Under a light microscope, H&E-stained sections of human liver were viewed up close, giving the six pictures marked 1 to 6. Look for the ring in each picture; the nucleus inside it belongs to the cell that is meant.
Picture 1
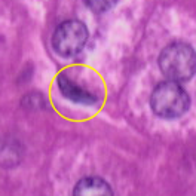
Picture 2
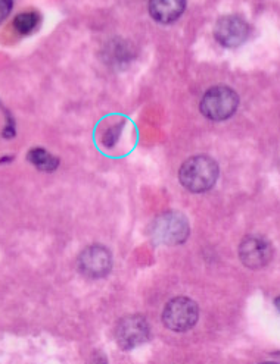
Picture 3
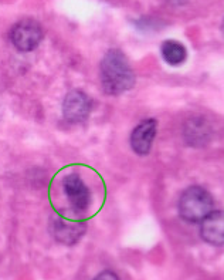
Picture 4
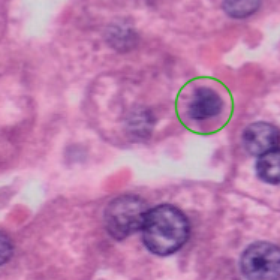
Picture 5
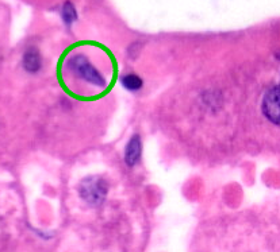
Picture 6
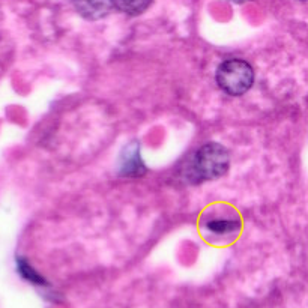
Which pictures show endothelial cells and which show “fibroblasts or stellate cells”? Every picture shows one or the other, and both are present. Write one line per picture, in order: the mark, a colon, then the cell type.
1: endothelial cell
2: endothelial cell
3: fibroblast or stellate cell
4: fibroblast or stellate cell
5: fibroblast or stellate cell
6: fibroblast or stellate cell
